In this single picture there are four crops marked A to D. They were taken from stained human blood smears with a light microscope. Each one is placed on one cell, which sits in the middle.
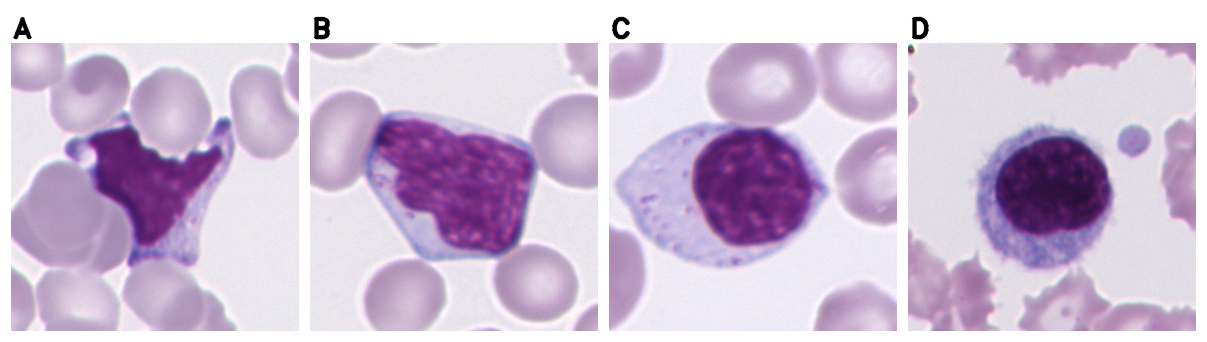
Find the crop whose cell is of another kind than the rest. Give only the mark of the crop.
D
